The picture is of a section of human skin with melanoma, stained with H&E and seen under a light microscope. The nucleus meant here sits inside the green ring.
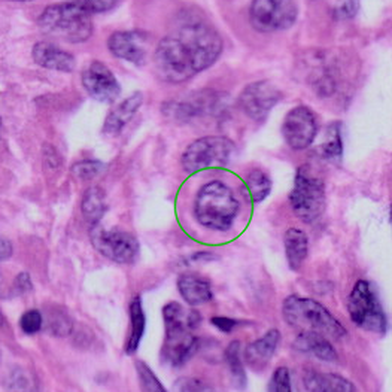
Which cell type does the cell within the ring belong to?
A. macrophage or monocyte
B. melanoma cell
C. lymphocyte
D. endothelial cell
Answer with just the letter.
B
